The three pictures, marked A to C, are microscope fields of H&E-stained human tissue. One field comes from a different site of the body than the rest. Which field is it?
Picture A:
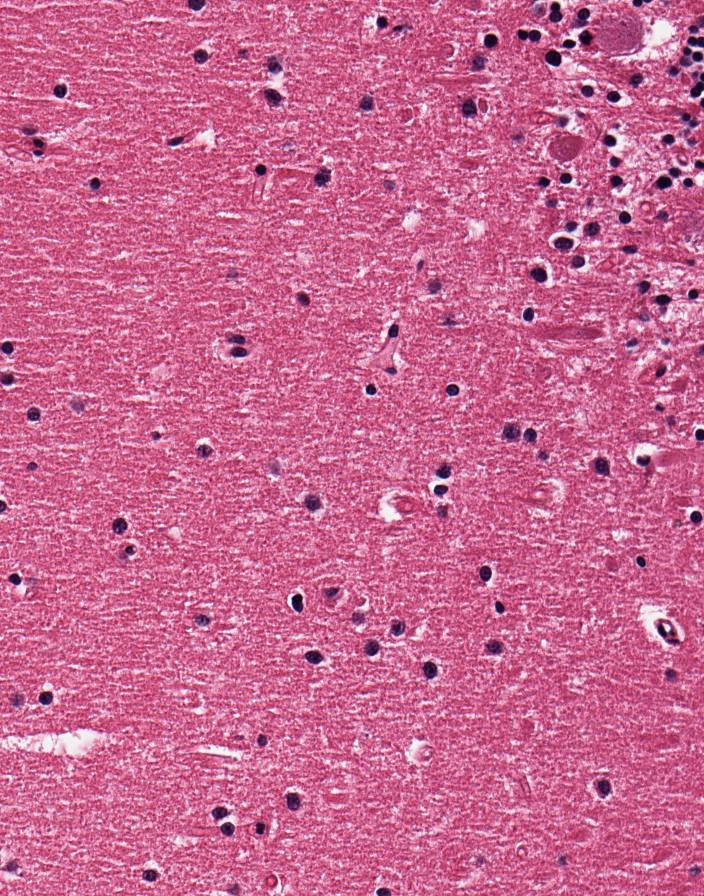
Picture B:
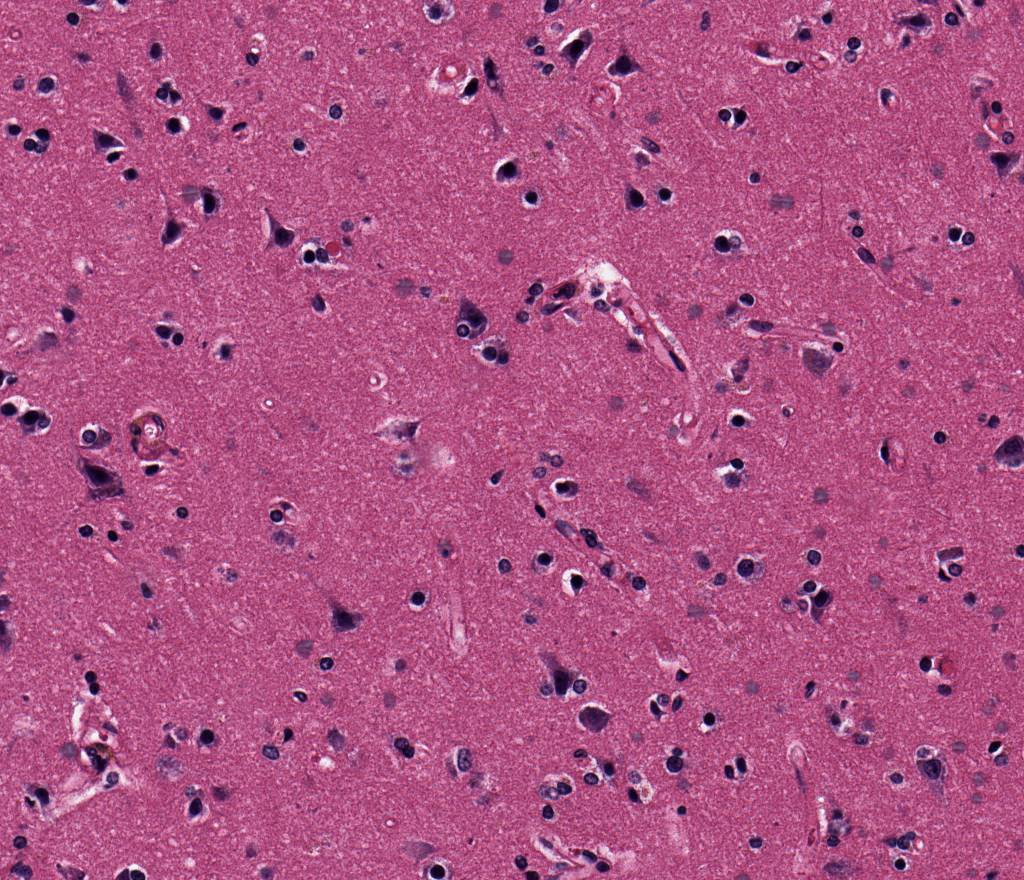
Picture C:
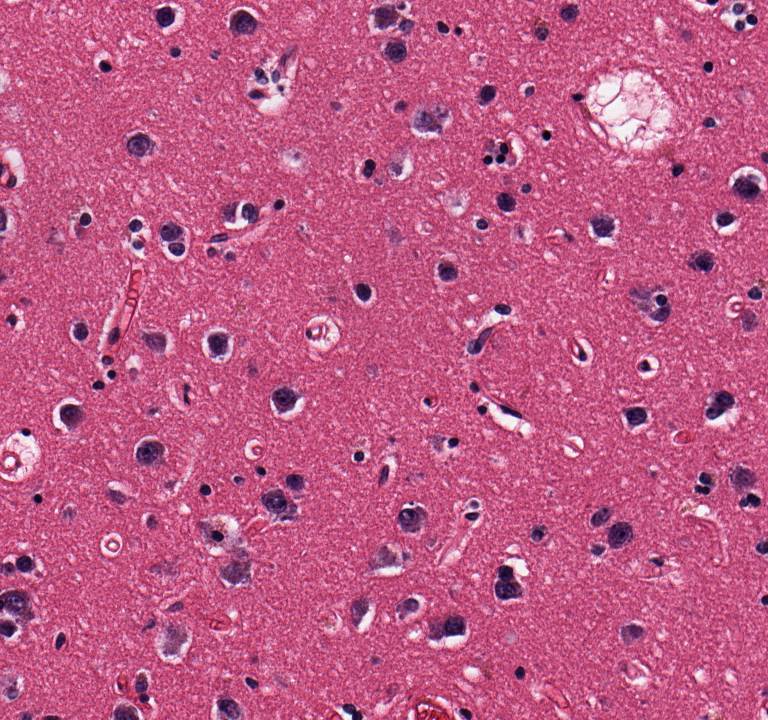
A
